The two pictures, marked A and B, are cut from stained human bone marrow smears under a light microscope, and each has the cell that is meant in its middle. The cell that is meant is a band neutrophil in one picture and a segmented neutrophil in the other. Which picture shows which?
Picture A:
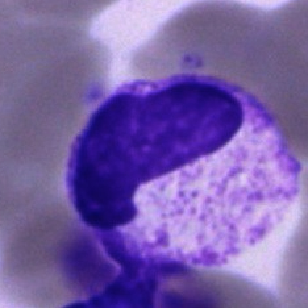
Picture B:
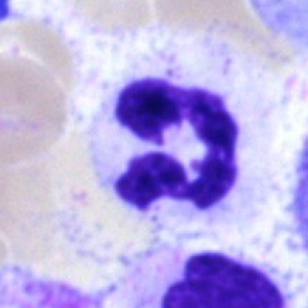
A: band neutrophil
B: segmented neutrophil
